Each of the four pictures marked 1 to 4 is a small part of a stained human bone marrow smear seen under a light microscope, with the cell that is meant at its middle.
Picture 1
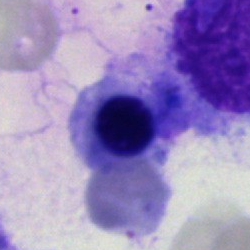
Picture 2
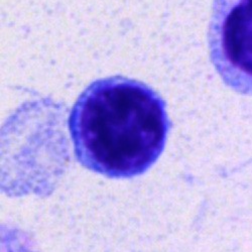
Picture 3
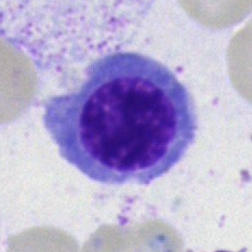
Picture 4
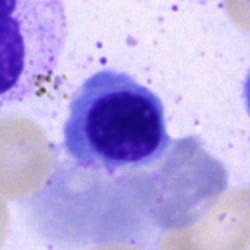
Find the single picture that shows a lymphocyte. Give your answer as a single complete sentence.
The picture with the lymphocyte is 2.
